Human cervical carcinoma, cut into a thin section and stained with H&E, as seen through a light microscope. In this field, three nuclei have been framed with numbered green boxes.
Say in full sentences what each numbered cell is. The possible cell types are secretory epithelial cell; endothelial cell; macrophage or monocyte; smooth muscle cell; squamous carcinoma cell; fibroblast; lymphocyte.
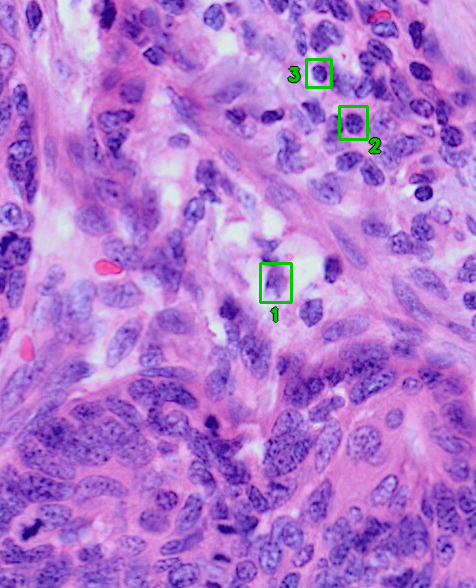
Cell 1 is a macrophage or monocyte, cell 2 is a lymphocyte and cell 3 is a lymphocyte.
